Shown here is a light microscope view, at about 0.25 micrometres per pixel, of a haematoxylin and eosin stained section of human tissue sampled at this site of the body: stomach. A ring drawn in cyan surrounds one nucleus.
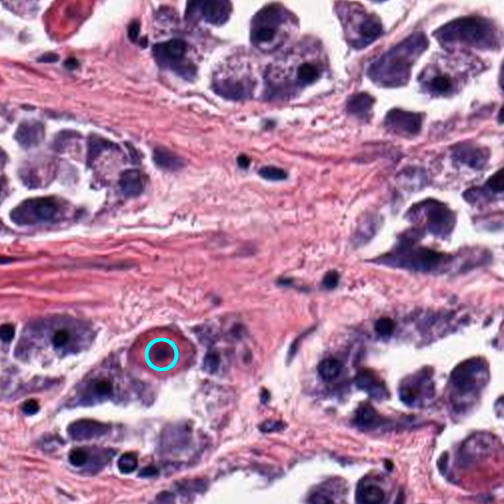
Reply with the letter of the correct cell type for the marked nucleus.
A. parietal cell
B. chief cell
A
